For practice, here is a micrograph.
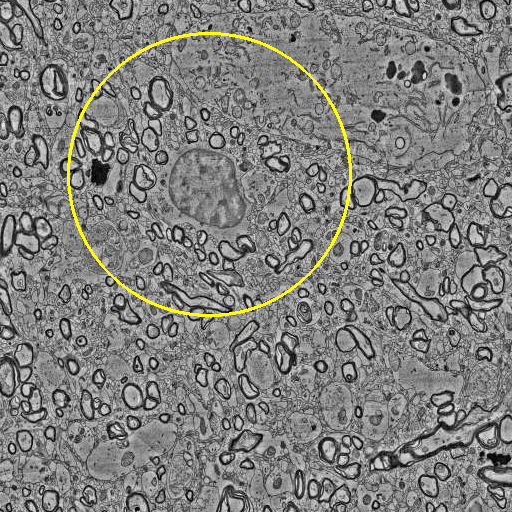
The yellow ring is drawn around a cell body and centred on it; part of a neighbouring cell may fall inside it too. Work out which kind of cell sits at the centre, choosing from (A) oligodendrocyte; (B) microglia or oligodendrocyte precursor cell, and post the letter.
A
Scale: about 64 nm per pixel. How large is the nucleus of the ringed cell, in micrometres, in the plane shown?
The nucleus is approximately 6 micrometers long by 4 micrometers wide in this plane.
